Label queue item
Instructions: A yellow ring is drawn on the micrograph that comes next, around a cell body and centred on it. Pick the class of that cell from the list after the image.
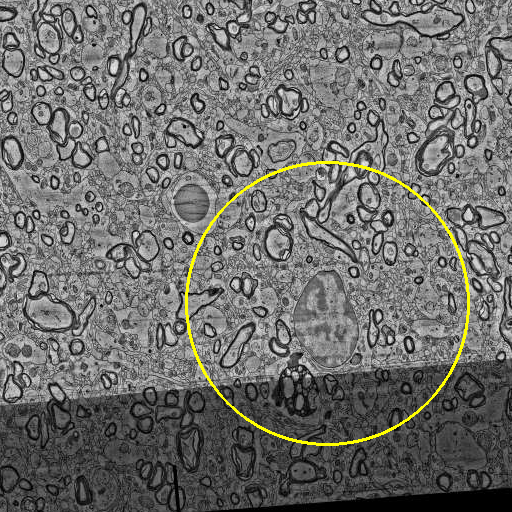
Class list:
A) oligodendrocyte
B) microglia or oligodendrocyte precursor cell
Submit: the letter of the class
B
